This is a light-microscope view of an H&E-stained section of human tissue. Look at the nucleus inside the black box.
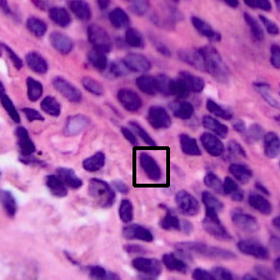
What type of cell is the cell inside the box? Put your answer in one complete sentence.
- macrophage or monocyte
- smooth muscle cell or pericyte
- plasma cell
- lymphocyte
To be brief about it, the cell inside the box is a lymphocyte.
